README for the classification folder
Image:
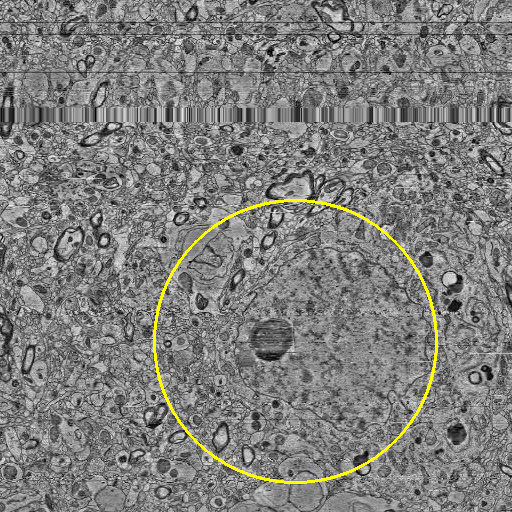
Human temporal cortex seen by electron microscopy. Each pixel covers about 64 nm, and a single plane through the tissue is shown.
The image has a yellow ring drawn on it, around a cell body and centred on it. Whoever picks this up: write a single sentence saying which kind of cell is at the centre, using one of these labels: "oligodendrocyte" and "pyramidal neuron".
This cell body is that of a pyramidal neuron.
